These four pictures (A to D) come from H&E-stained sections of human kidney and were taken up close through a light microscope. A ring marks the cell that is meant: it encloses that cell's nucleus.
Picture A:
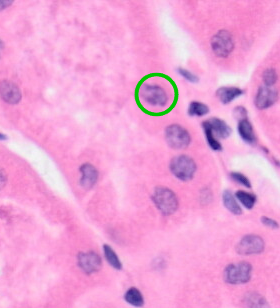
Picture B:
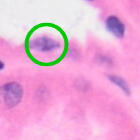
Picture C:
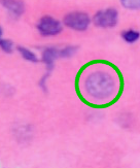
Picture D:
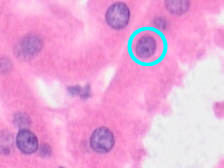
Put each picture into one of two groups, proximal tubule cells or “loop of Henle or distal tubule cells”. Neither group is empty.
A: proximal tubule cell
B: loop of Henle or distal tubule cell
C: proximal tubule cell
D: proximal tubule cell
